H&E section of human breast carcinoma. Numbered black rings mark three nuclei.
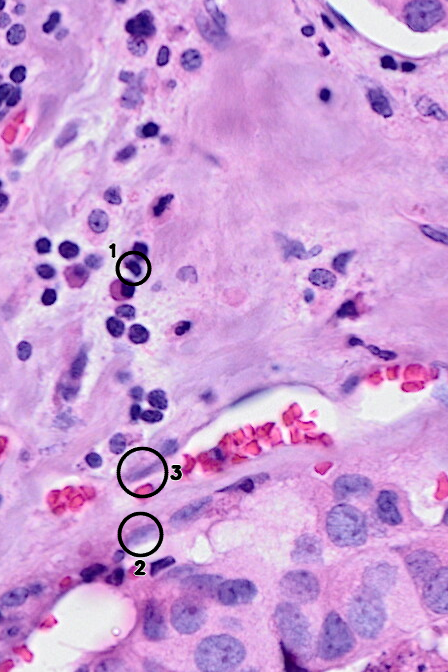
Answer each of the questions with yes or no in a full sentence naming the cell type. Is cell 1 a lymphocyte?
Yes, the cell that goes by number 1 is a lymphocyte.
